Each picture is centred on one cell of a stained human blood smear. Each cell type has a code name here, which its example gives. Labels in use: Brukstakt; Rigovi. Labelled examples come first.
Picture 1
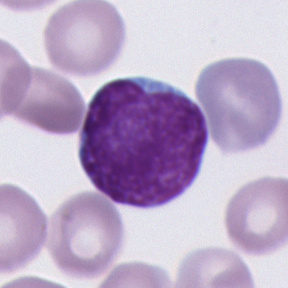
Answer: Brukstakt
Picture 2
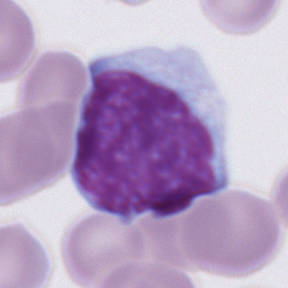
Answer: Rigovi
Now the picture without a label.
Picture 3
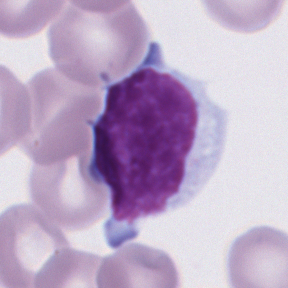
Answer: Rigovi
